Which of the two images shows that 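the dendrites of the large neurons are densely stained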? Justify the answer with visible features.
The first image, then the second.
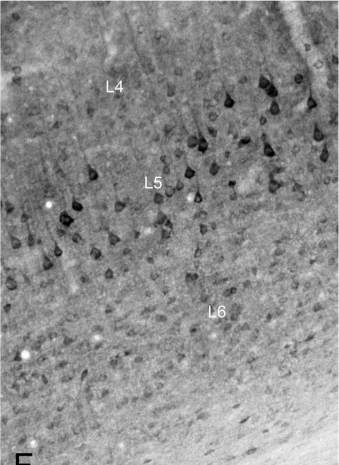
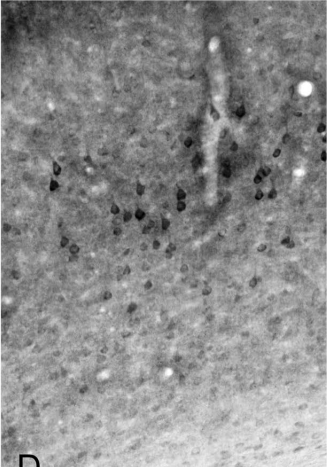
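First image: many dark somata give off long dark apical processes. Second image: dark somata with few and faint processes. That points to this answer: the first image.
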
